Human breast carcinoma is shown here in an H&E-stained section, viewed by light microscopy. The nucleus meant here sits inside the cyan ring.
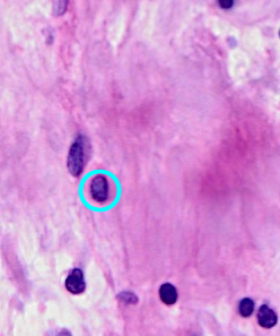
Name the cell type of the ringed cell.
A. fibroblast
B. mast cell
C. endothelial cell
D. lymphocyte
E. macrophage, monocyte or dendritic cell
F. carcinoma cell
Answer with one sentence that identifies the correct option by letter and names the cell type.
In this item, the ringed cell is a mast cell, and option B is right.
